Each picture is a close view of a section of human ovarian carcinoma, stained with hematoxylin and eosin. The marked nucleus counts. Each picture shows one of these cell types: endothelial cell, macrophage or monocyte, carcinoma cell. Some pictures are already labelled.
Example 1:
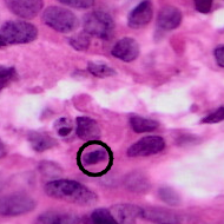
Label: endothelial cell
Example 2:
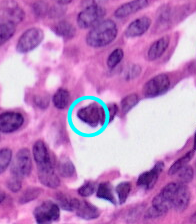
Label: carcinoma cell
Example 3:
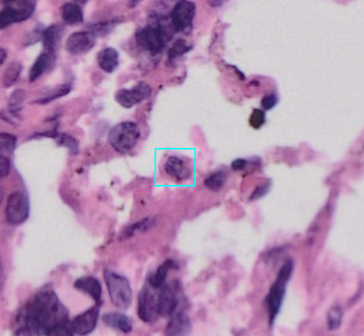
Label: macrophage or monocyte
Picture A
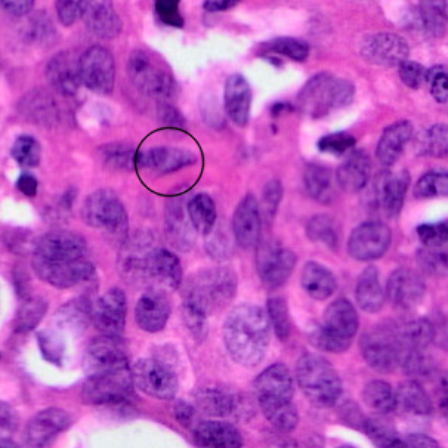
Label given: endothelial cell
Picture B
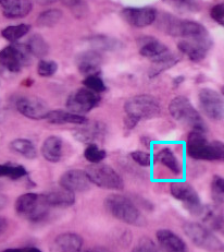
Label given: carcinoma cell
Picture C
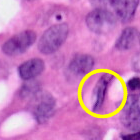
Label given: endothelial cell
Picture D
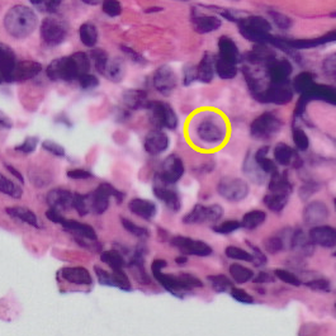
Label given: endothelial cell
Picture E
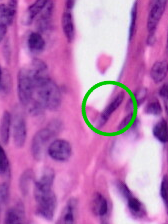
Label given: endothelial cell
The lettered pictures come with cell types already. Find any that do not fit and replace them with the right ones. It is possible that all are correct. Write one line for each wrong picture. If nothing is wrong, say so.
Wrong: D (endothelial cell); correct: macrophage or monocyte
